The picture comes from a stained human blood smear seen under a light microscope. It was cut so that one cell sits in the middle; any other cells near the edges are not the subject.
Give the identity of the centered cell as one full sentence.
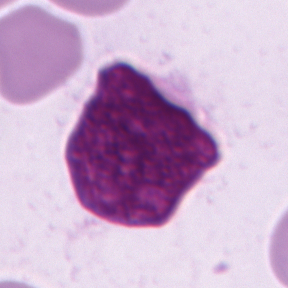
The cell the crop is centered on is a smudge cell.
